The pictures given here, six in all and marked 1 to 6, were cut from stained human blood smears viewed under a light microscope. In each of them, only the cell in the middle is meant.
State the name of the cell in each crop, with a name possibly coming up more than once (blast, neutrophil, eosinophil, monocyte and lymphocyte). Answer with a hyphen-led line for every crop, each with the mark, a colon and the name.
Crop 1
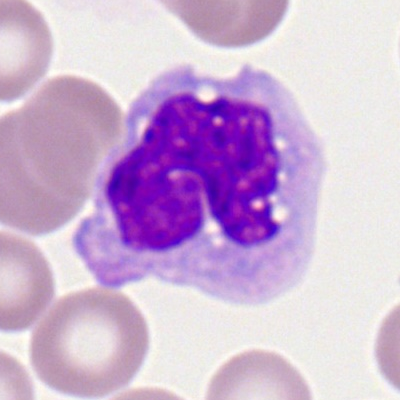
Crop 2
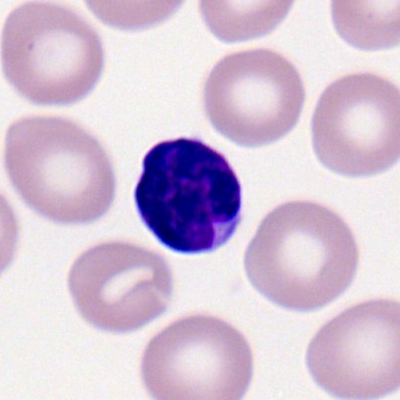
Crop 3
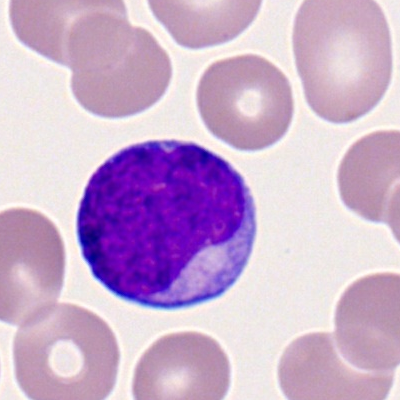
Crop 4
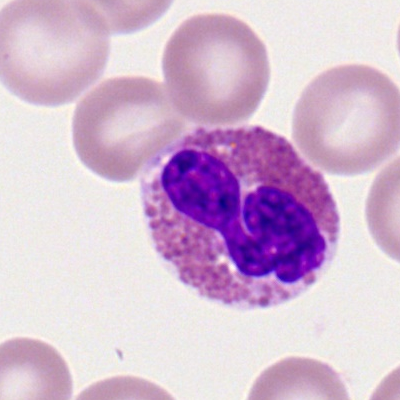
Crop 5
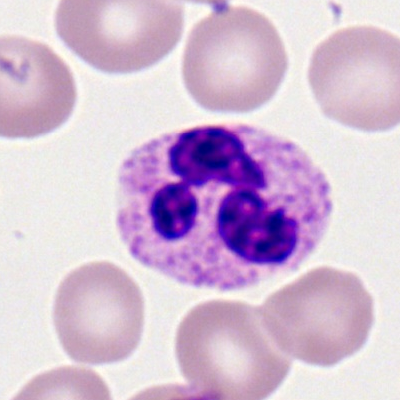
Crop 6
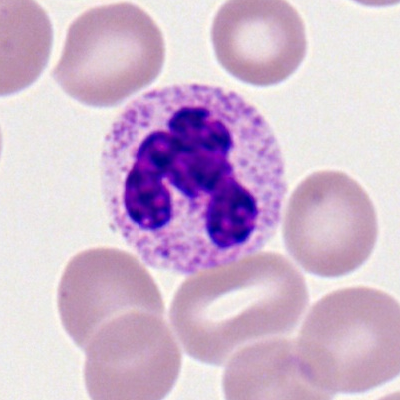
- 1: monocyte
- 2: lymphocyte
- 3: blast
- 4: eosinophil
- 5: neutrophil
- 6: neutrophil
